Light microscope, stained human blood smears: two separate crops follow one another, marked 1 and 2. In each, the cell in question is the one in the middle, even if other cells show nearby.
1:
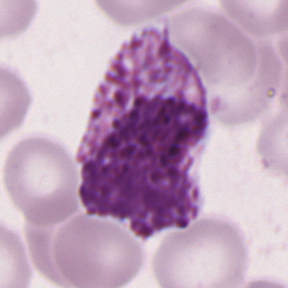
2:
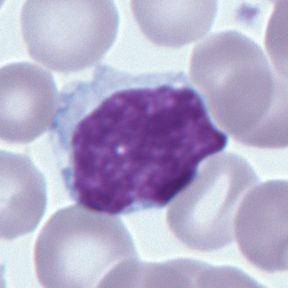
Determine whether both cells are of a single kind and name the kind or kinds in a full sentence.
No, a basophil is in crop 1, while a typical lymphocyte is in crop 2.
